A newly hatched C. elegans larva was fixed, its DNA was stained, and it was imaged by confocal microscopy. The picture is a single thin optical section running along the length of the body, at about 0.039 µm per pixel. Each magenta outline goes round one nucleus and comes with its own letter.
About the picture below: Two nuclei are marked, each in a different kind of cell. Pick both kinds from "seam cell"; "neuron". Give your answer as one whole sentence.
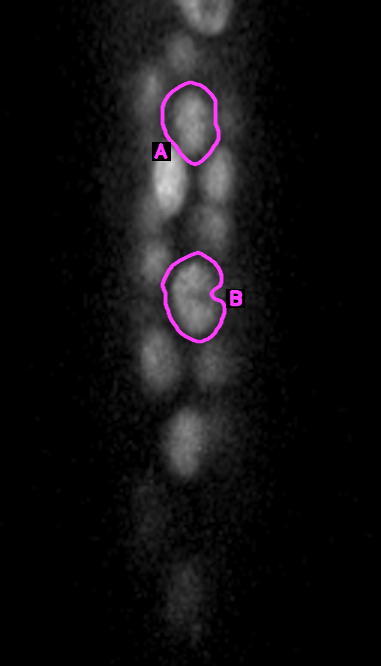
One is from a neuron, namely A, and the other, B, is from a seam cell.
